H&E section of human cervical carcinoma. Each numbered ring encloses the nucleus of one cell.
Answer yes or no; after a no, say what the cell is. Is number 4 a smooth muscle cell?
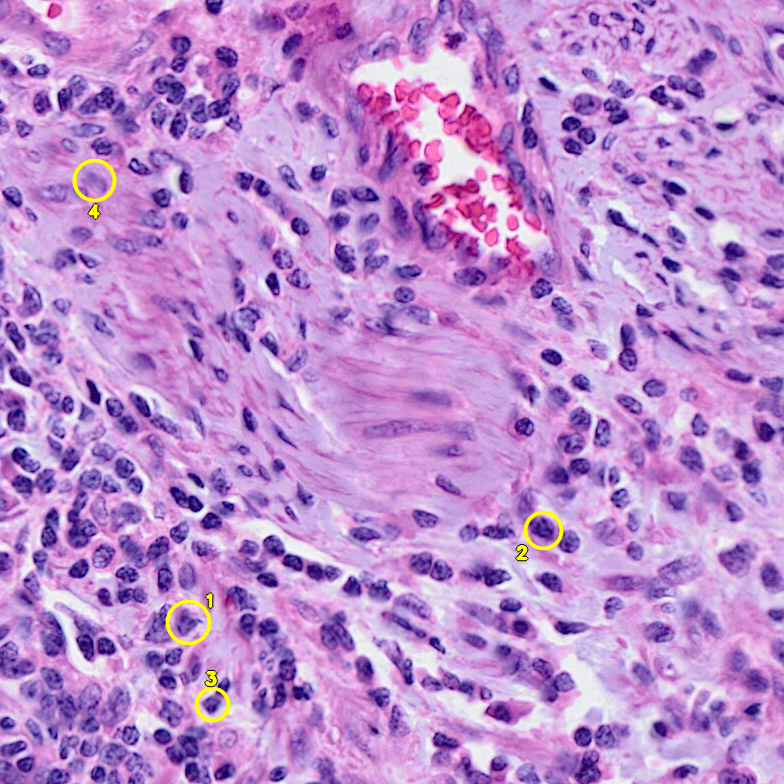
Yes.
